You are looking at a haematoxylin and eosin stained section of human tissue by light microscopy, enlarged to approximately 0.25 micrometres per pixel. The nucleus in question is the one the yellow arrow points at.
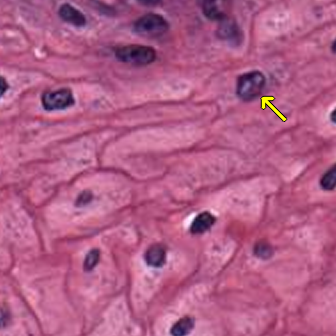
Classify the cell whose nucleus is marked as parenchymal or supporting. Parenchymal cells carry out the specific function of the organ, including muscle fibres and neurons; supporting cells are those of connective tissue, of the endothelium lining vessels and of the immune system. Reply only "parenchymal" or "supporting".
parenchymal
